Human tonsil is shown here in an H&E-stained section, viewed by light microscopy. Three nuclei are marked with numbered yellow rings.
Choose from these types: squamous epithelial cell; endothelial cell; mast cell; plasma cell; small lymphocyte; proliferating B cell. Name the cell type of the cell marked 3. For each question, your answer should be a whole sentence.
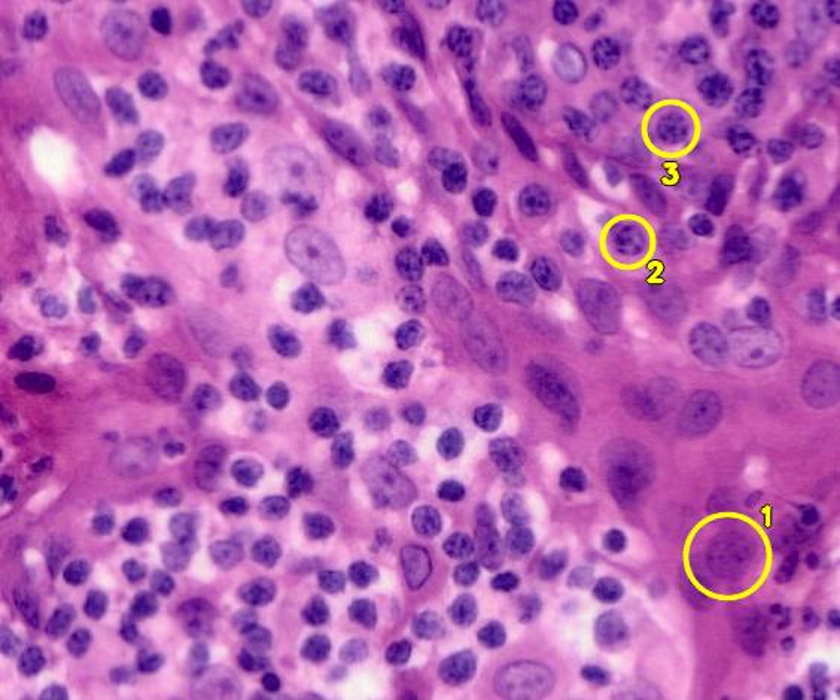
The label 3 in this section denotes a plasma cell.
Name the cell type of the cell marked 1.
Cell 1, among those numbered, is a squamous epithelial cell.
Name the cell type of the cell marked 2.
In this section, number 2 marks a plasma cell.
